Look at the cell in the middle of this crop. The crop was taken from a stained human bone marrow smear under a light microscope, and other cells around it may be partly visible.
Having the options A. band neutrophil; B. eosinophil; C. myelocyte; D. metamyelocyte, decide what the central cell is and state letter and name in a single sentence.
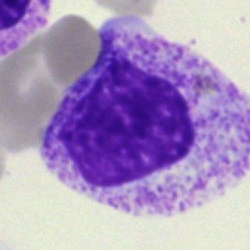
The one cell at the centre is a myelocyte, as correctly stated in option C.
